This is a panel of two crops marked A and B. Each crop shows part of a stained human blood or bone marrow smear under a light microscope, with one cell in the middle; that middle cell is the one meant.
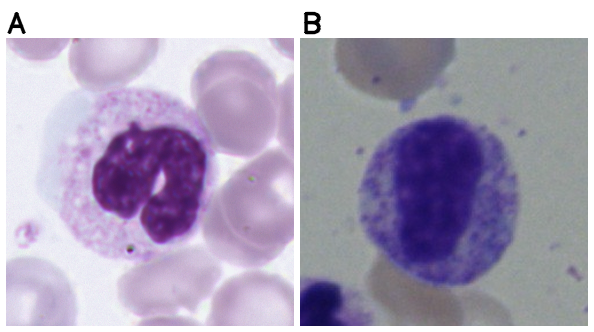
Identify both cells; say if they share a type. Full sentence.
No, in crop A there is a band neutrophil, and in crop B there is a metamyelocyte.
